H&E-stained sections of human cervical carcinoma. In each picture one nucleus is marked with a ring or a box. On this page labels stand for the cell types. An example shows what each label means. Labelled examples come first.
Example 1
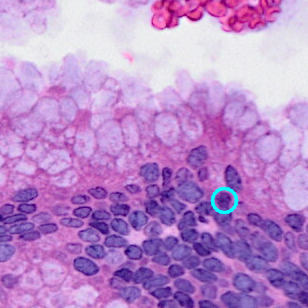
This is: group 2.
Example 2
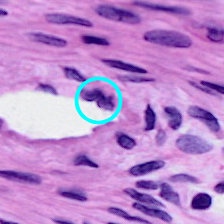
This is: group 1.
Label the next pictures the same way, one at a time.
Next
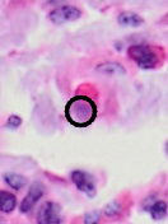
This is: group 1.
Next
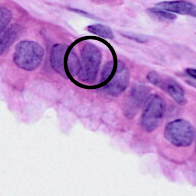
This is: group 2.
